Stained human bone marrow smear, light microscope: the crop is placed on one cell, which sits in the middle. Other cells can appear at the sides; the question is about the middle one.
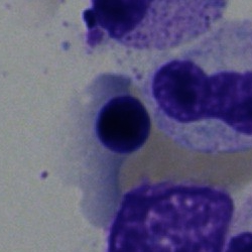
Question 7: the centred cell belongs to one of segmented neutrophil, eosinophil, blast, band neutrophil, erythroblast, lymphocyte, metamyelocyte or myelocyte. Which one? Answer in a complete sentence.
Where the crop is centred, there is an erythroblast.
